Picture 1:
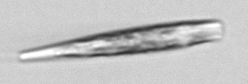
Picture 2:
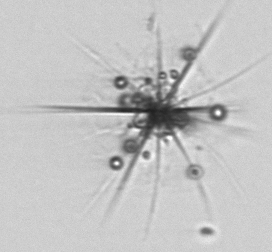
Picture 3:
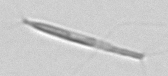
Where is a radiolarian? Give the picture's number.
2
